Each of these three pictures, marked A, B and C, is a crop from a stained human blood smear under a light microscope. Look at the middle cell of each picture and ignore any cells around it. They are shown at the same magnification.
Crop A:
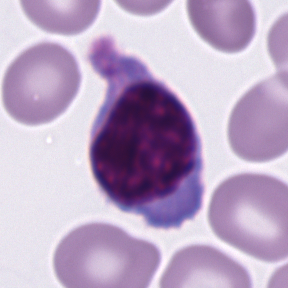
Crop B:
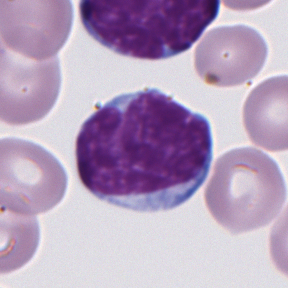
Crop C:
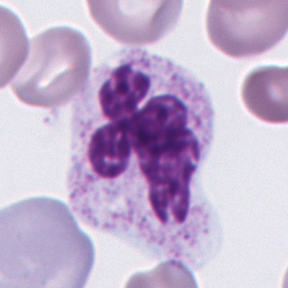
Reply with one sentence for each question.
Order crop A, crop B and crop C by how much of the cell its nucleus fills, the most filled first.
The most filled comes first: B, A, C.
